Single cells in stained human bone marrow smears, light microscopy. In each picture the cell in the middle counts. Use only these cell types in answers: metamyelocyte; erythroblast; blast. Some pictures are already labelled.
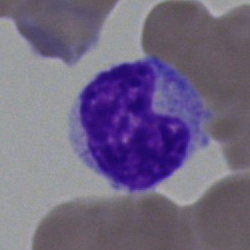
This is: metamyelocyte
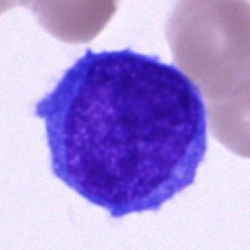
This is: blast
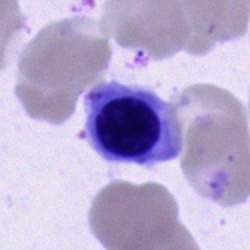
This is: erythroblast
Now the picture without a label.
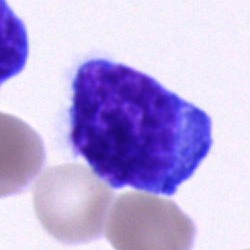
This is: blast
